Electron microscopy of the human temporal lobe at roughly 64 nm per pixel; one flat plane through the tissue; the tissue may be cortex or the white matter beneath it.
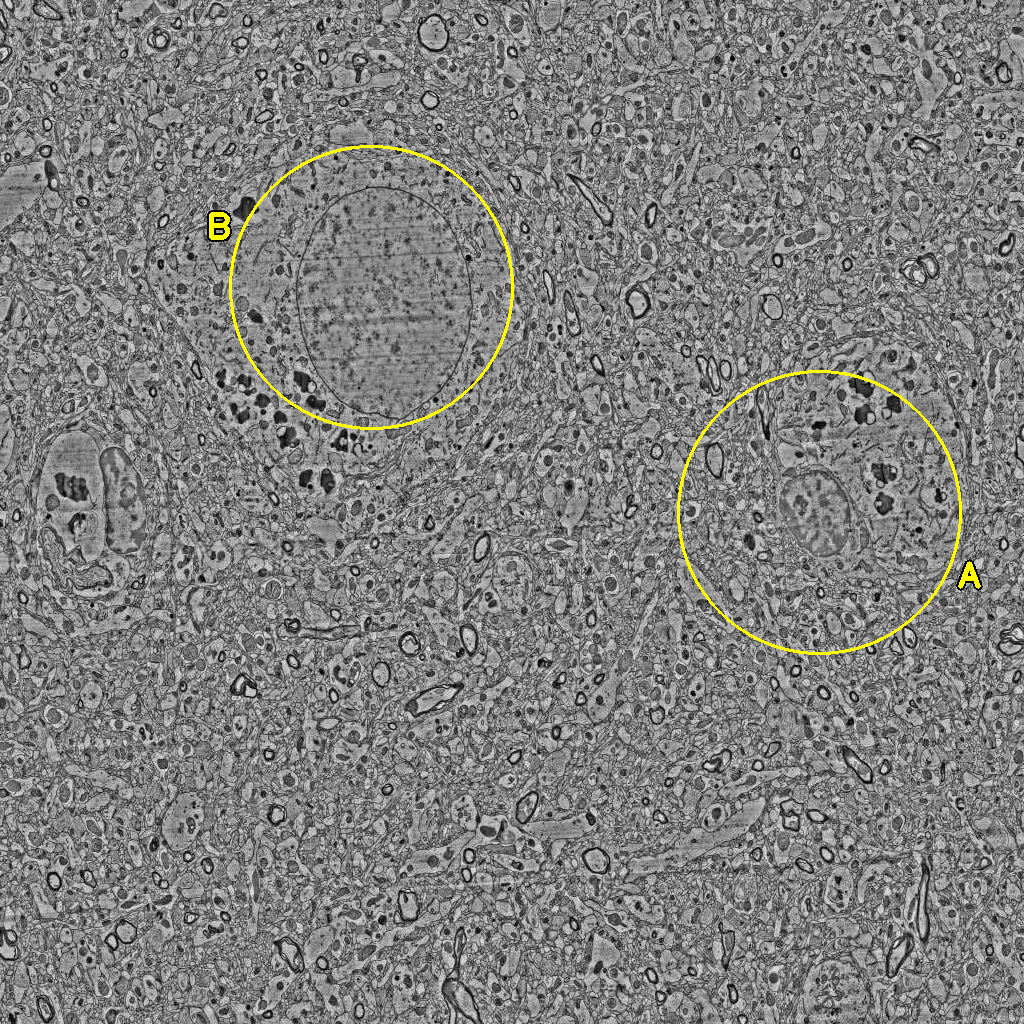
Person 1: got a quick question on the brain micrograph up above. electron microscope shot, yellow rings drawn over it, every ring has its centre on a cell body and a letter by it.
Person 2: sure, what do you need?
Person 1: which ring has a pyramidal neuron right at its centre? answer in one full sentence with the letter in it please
In that picture, ring B is centred on the cell asked for.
